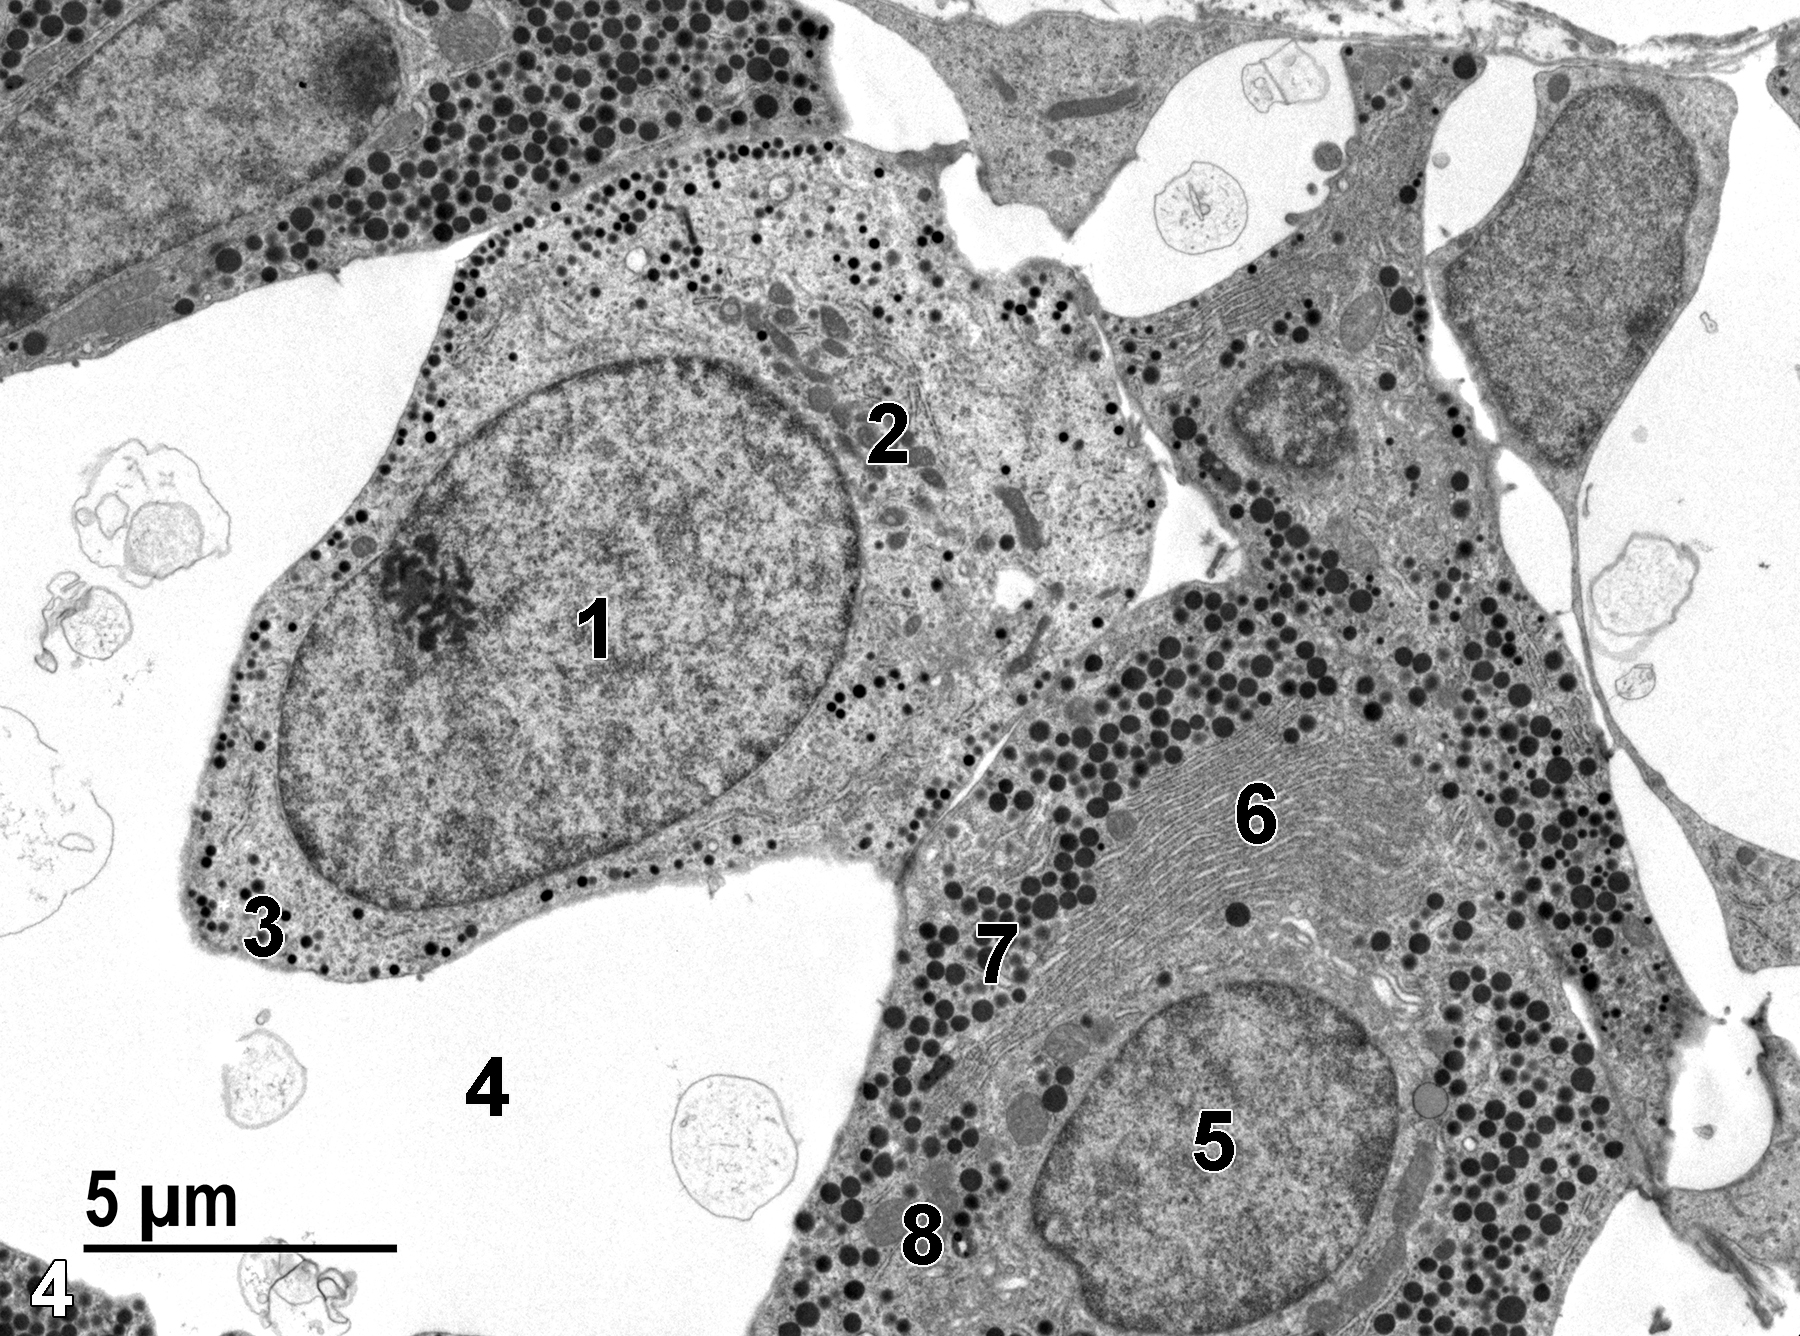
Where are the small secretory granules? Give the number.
3.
